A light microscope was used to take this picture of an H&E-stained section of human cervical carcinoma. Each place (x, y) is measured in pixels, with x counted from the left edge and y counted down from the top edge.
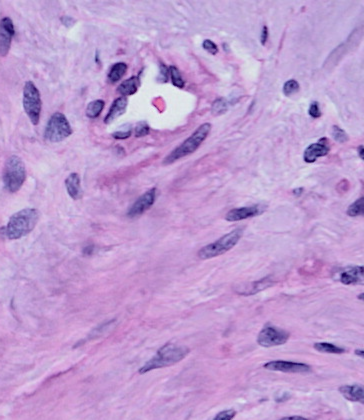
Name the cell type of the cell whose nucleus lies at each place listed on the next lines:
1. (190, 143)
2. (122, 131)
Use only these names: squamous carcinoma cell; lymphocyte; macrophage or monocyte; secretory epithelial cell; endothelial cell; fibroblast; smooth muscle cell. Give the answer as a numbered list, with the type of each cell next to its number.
1. smooth muscle cell
2. endothelial cell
